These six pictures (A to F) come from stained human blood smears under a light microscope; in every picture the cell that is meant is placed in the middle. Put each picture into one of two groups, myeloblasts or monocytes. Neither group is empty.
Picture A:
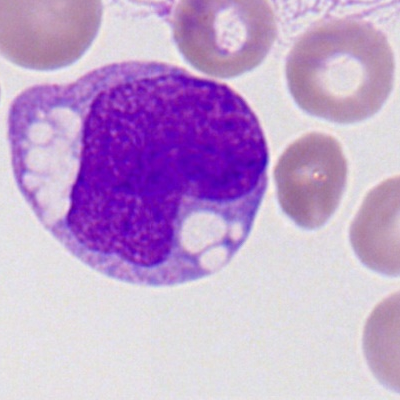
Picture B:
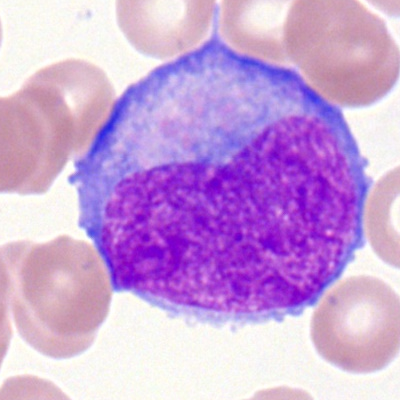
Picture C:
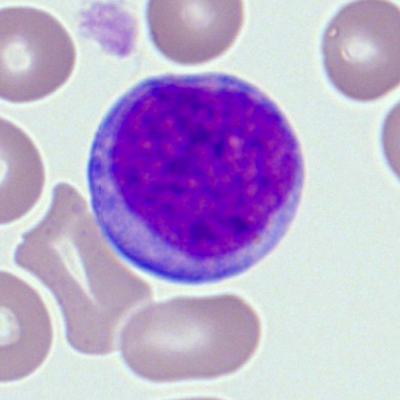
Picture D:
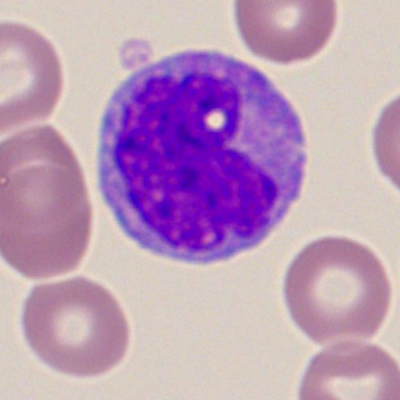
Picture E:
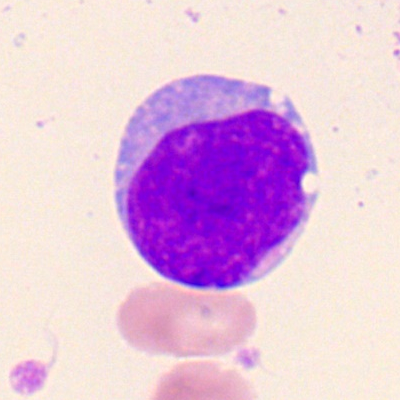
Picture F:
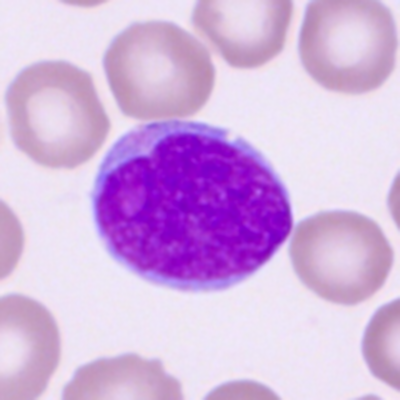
A: monocyte
B: myeloblast
C: myeloblast
D: monocyte
E: myeloblast
F: myeloblast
